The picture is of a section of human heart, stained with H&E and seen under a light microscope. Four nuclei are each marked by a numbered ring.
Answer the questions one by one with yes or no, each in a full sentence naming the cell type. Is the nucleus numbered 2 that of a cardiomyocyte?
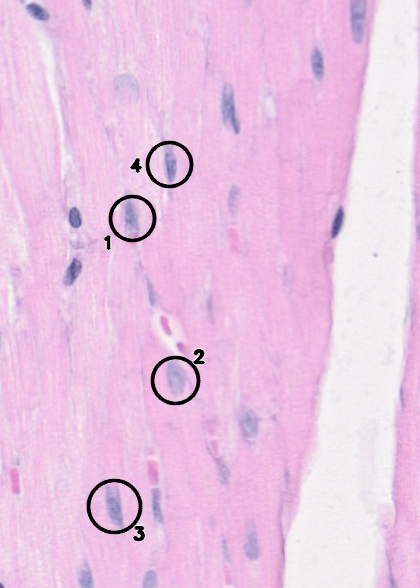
Yes, the cell tagged with number 2 is a cardiomyocyte.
